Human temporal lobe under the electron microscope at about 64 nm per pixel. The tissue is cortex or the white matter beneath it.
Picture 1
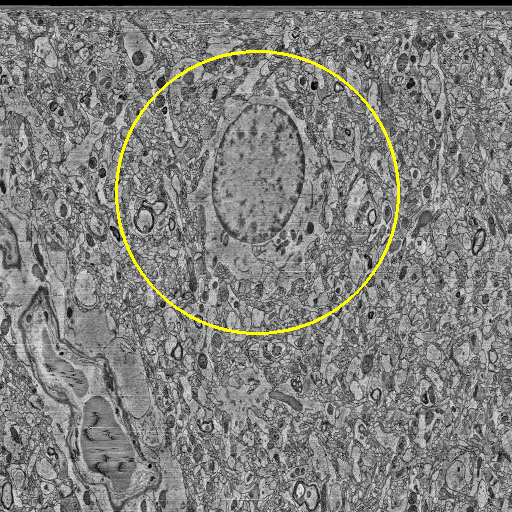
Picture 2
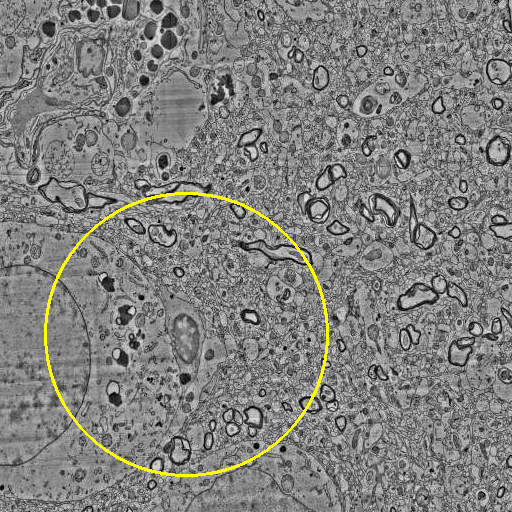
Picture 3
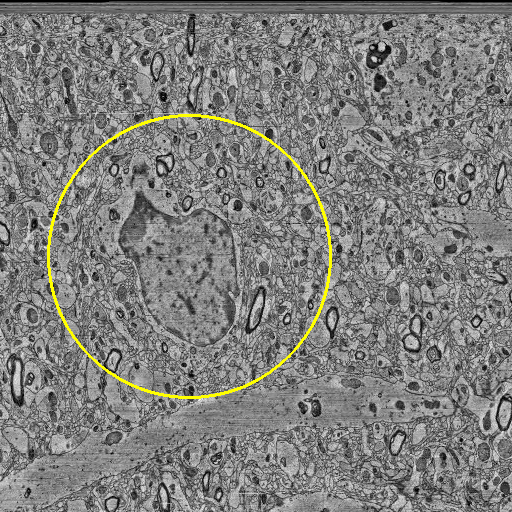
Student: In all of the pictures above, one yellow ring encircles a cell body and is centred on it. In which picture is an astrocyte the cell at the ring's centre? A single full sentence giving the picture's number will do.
Picture number 1 has the wanted cell right at the centre of its ring.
